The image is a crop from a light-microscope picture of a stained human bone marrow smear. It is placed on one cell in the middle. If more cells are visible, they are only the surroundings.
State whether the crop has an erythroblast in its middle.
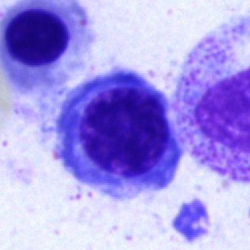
yes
